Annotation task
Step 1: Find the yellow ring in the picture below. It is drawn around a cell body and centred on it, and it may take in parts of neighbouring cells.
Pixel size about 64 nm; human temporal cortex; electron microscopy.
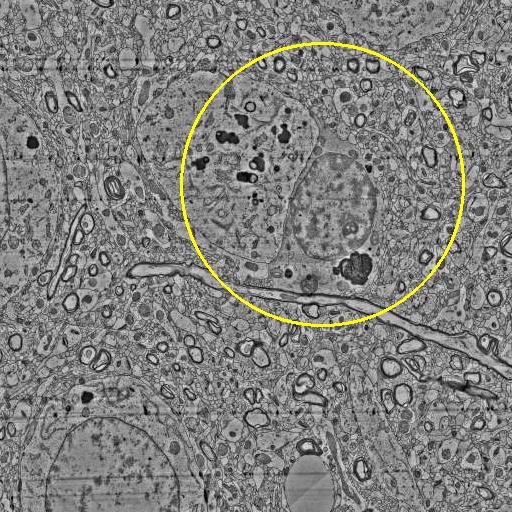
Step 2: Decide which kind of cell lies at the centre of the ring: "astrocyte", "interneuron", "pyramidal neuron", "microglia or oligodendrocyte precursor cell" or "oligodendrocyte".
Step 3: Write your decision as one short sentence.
The kind of cell at the ring's centre is an oligodendrocyte.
